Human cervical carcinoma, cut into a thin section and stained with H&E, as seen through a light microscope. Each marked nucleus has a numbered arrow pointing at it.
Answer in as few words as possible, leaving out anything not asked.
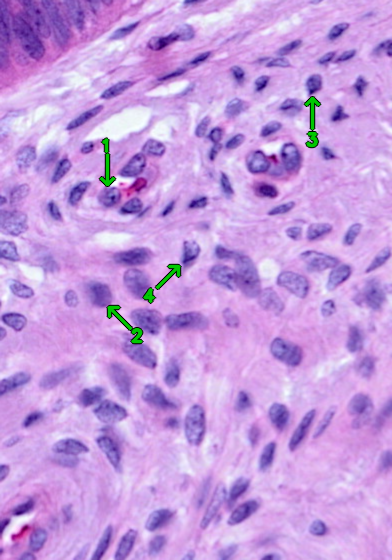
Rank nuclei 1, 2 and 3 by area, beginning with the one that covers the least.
3, 1, 2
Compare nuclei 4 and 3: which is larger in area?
4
